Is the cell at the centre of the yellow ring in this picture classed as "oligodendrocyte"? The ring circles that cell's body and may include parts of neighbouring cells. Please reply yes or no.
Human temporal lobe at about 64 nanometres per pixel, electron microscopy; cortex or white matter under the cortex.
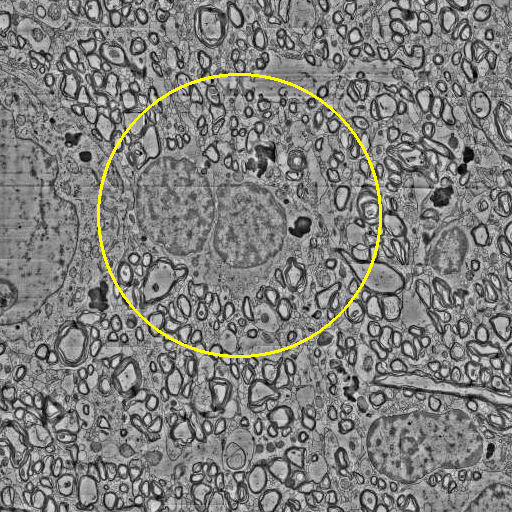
Yes, it is of that kind.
